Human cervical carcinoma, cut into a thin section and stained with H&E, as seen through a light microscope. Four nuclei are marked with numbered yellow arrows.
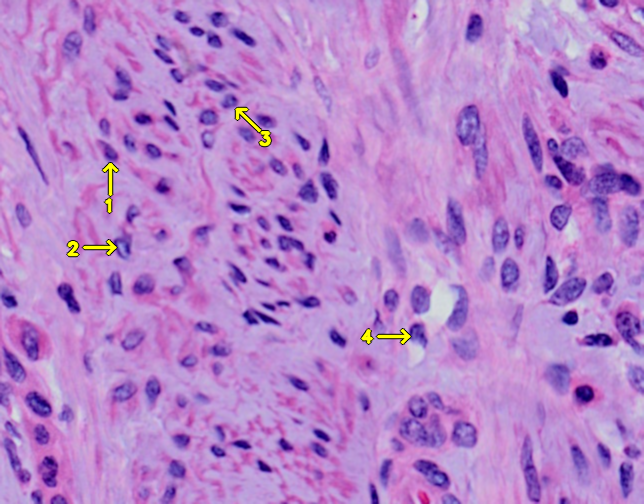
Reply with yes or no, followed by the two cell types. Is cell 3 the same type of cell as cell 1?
Yes, in this section cells 3 and 1 are both smooth muscle cells.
